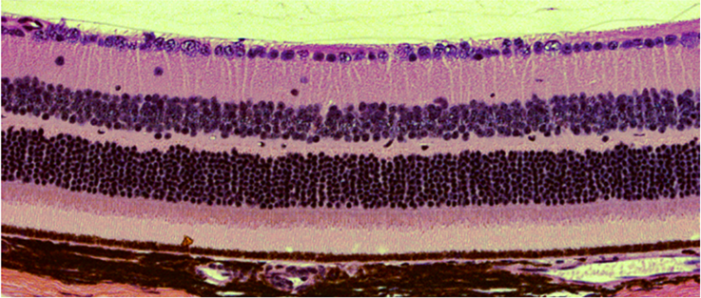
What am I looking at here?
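A cross-section of retina shows its layers as parallel bands, stained purple and pink. A sparse row of larger nuclei lines the top surface beside the pale vitreous, followed by a broad pink fibrous band and a band of several rows of rounded purple nuclei. Beneath a thin pink band lies the outer nuclear layer, a dense band of small round dark nuclei in many rows. Under it the pale pink striated band of photoreceptor segments runs to a dark pigmented line, with loose pigmented tissue beneath.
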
